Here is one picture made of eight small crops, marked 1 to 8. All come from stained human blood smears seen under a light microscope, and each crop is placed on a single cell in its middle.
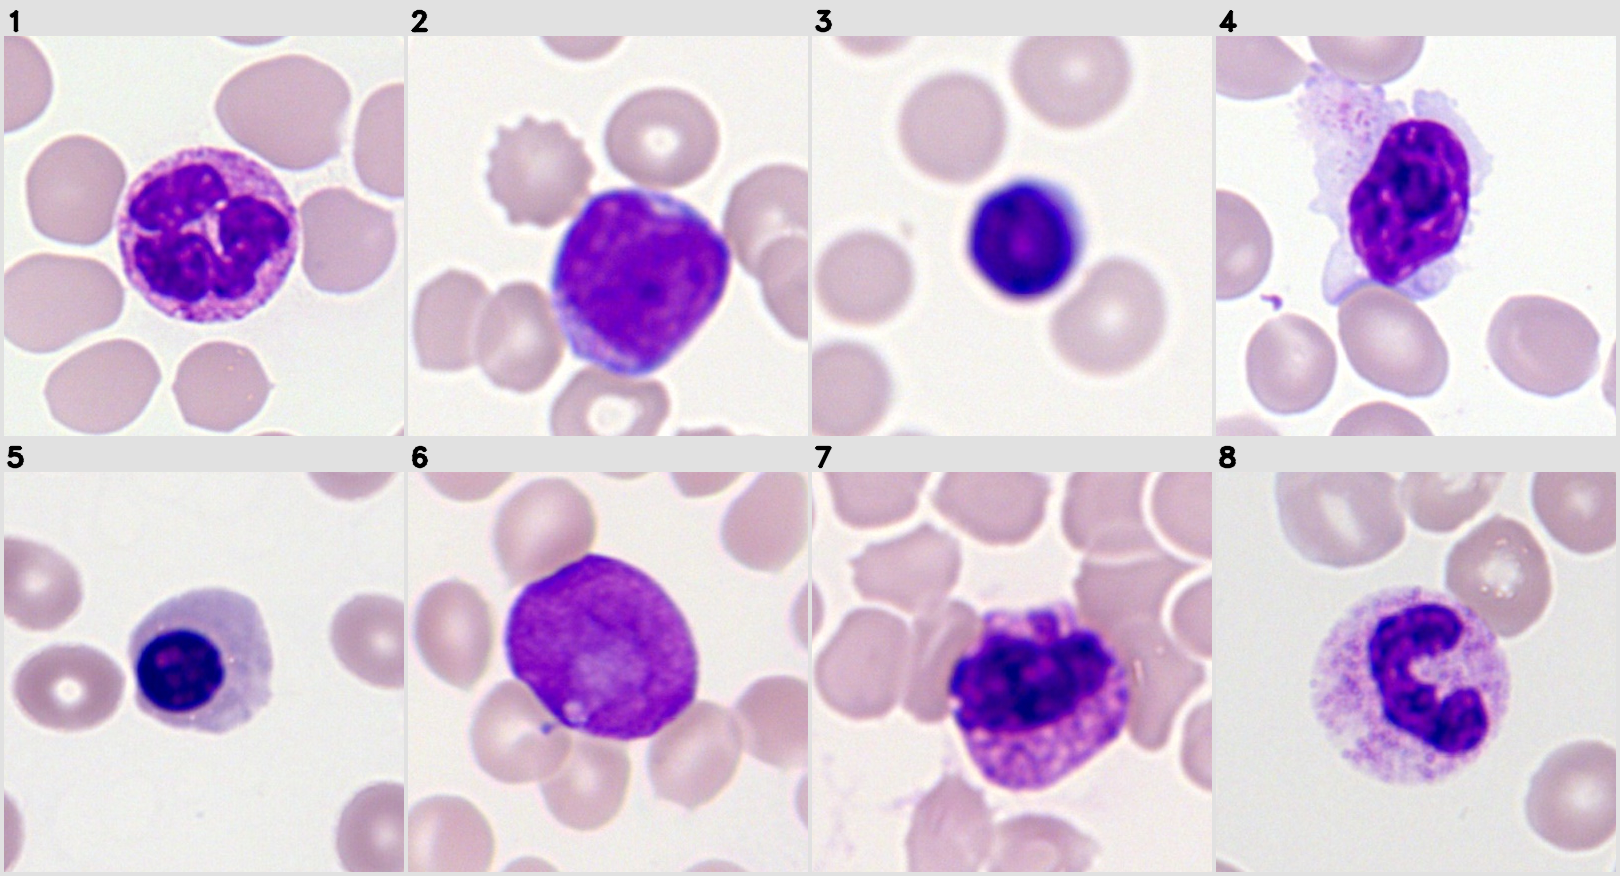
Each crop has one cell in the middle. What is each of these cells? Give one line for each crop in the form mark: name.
1: basophil
2: myeloblast
3: lymphocyte
4: lymphocyte
5: erythroblast
6: myeloblast
7: basophil
8: band neutrophil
